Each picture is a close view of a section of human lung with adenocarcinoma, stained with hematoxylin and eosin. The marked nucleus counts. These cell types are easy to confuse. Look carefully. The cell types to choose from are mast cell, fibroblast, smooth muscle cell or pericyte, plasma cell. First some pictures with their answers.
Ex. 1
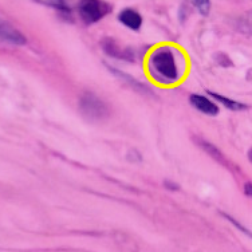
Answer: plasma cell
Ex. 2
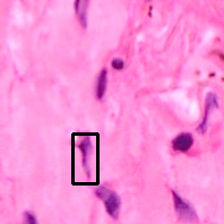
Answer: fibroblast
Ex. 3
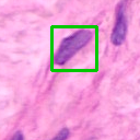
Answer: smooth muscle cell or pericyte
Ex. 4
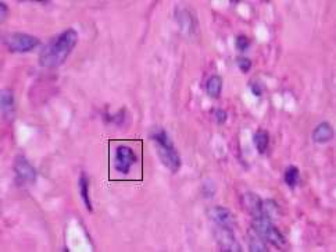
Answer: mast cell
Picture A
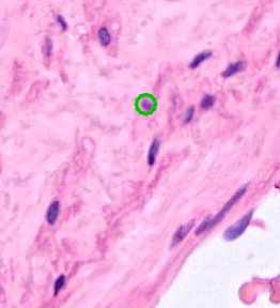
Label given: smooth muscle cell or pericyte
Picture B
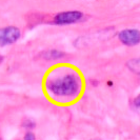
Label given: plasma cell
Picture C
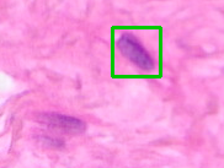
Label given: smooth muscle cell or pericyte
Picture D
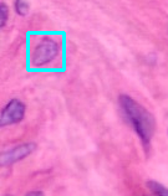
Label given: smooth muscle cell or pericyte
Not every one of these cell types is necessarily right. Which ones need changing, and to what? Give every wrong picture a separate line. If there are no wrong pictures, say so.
All correct.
